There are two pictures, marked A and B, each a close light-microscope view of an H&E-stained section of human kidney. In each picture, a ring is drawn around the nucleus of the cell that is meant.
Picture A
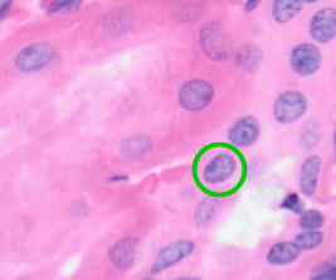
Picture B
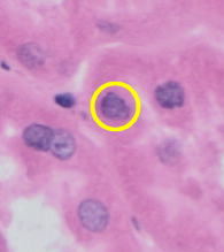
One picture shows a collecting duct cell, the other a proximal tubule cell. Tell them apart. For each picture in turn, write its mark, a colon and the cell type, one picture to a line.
A: collecting duct cell
B: proximal tubule cell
